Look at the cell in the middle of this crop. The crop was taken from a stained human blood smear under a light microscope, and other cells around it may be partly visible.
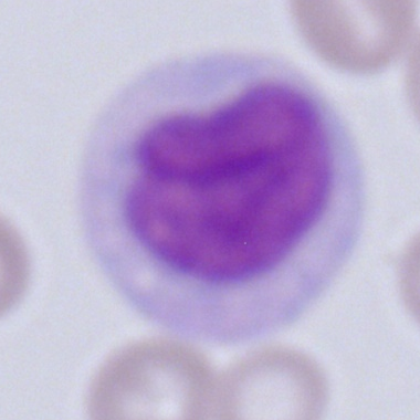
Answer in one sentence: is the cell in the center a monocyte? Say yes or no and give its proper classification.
Yes, the cell at the middle of the frame is a monocyte.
